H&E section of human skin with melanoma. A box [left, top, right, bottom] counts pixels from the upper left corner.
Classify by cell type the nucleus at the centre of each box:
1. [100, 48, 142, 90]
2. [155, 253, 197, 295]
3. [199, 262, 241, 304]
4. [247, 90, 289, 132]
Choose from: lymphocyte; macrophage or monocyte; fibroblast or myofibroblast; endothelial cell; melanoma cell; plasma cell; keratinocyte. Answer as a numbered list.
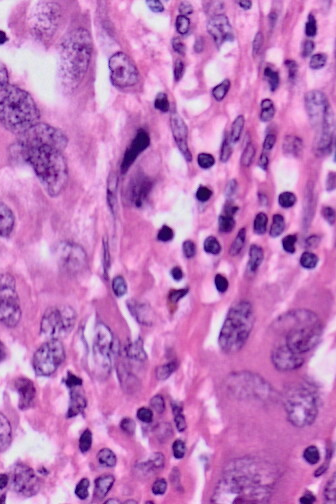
1. melanoma cell
2. lymphocyte
3. lymphocyte
4. lymphocyte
